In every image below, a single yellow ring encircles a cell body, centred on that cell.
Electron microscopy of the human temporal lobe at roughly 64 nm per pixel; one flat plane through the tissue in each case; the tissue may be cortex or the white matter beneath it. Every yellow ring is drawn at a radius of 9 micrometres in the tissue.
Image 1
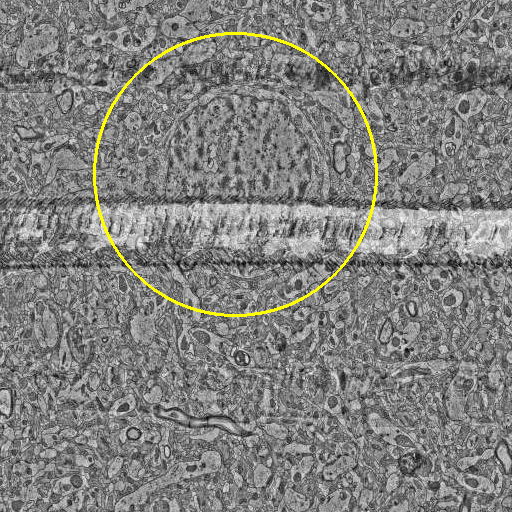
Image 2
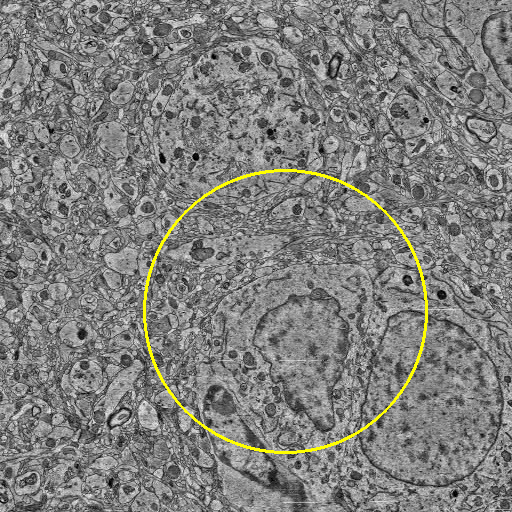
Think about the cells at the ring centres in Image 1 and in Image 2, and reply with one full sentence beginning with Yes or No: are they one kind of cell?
Yes, the cells centred in the rings of Image 1 and Image 2 are one kind of cell.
